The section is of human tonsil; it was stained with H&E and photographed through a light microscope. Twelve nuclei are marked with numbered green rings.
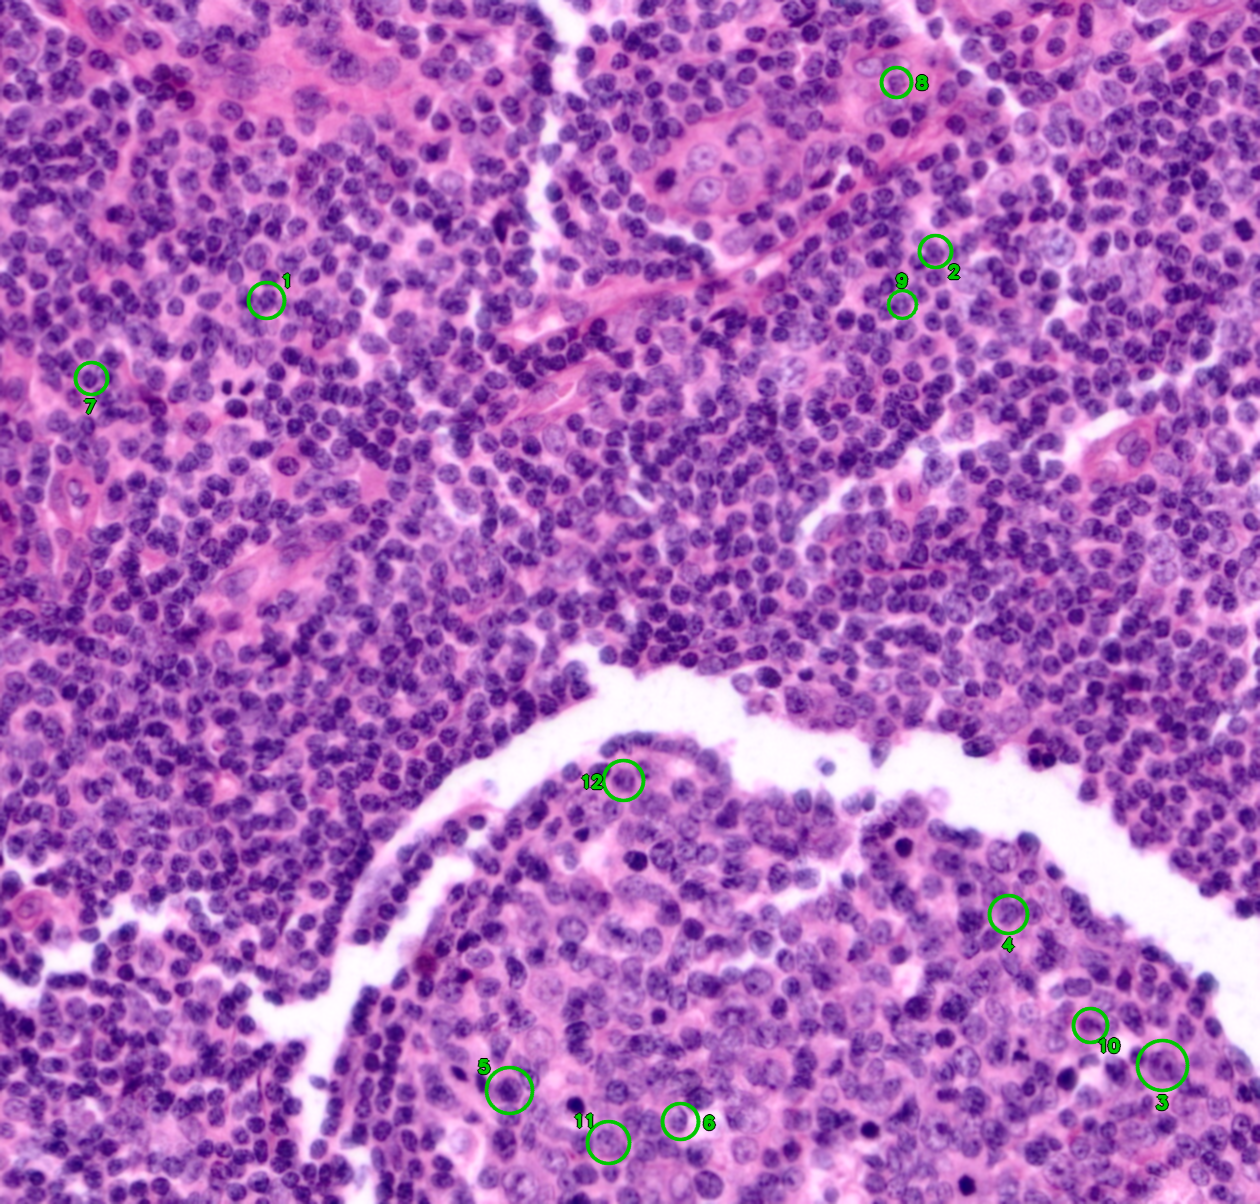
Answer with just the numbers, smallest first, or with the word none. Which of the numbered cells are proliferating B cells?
3, 4, 5, 6, 10, 11, 12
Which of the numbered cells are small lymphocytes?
1, 2, 7, 9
